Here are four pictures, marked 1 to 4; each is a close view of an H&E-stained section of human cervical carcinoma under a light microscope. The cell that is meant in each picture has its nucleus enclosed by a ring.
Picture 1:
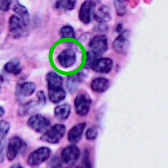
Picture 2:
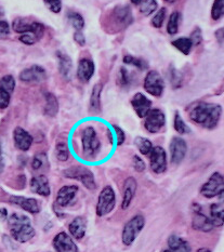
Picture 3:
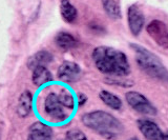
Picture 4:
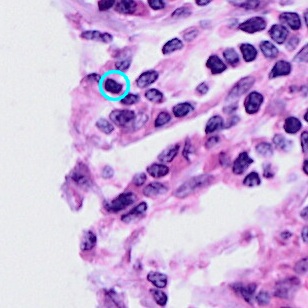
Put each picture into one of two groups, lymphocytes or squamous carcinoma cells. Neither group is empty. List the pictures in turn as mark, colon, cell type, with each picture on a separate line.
1: lymphocyte
2: lymphocyte
3: squamous carcinoma cell
4: lymphocyte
